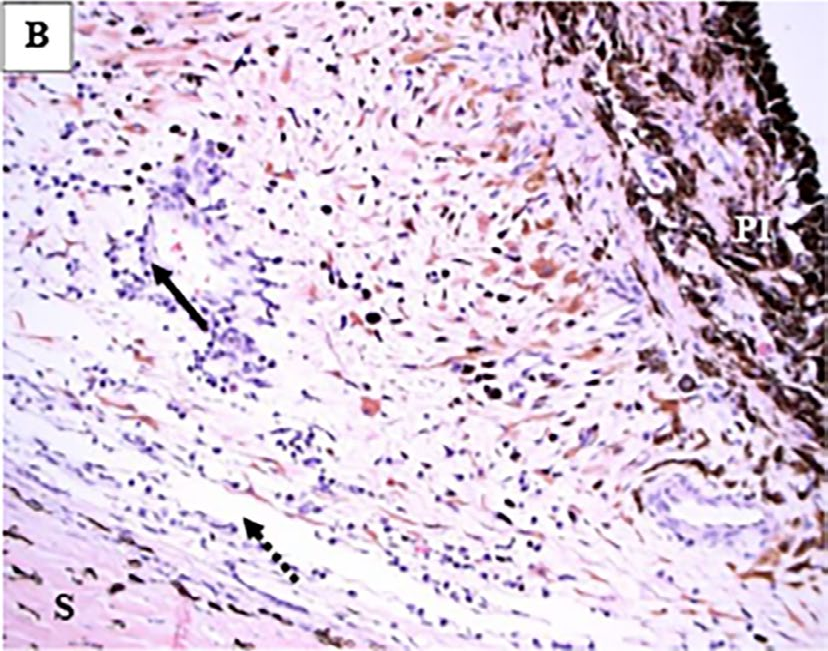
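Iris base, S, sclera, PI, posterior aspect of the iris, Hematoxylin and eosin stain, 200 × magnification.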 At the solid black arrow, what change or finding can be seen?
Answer: mild perivascular lymphoplasmacytic inflammation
